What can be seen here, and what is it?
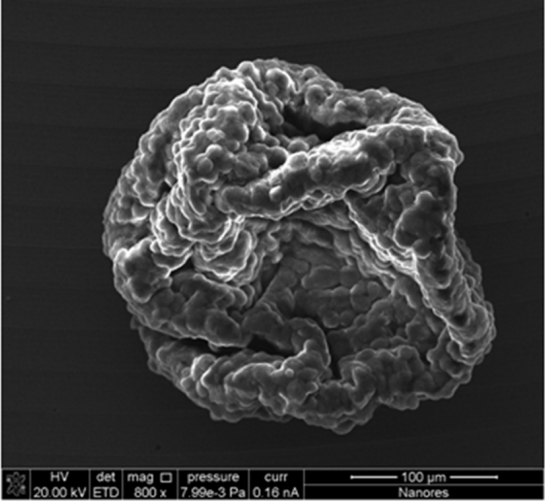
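This is a whole spheroid, a compact three-dimensional ball of cells, seen from above against a dark background. Its surface is built of many small rounded cells packed tightly together, and the ball is folded and creased, with deep clefts running across its upper face.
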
